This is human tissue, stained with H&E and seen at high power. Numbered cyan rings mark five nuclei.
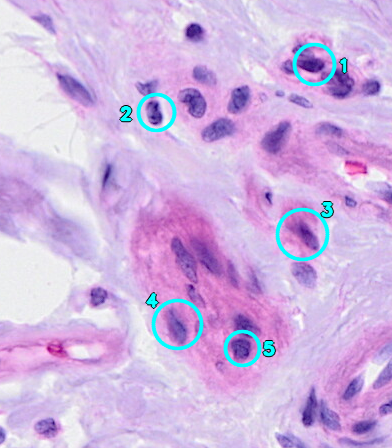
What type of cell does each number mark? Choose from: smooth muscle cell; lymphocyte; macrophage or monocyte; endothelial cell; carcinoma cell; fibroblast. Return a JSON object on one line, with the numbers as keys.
{"1": "endothelial cell", "2": "lymphocyte", "3": "smooth muscle cell", "4": "smooth muscle cell", "5": "smooth muscle cell"}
